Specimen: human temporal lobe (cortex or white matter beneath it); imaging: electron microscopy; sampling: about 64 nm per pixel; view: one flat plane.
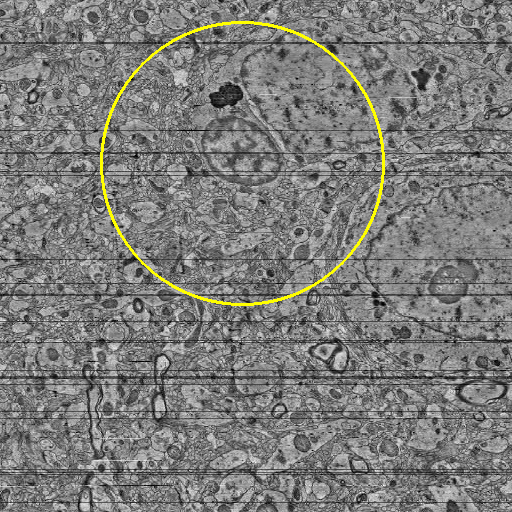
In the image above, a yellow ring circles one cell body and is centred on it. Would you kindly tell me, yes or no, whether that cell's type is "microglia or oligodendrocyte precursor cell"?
no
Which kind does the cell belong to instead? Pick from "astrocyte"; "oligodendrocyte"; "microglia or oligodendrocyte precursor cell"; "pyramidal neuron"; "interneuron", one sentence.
Sitting at the ring centre is an oligodendrocyte.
